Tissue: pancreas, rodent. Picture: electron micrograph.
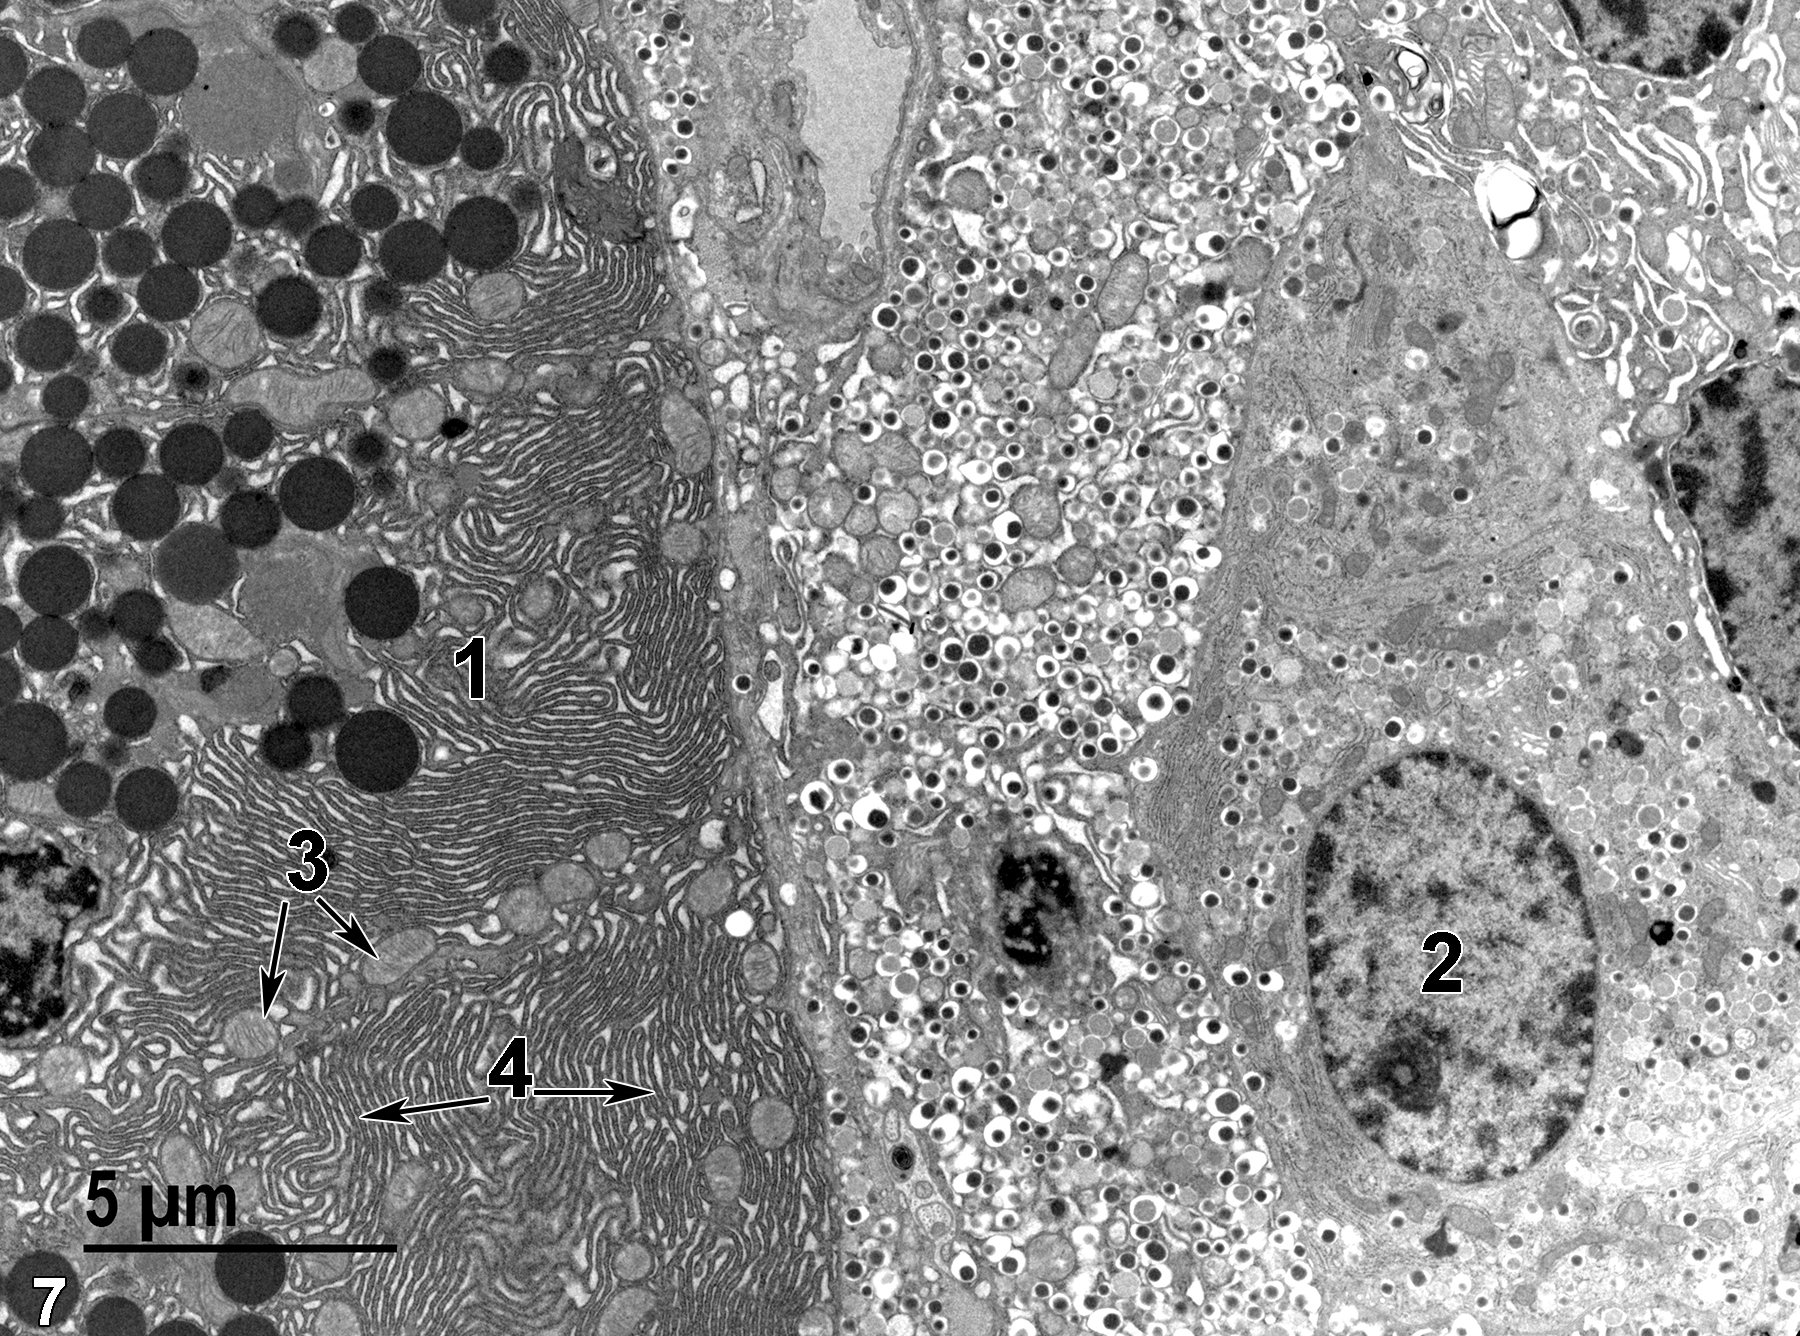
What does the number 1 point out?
Glandular epithelial cell of the parenchyma.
